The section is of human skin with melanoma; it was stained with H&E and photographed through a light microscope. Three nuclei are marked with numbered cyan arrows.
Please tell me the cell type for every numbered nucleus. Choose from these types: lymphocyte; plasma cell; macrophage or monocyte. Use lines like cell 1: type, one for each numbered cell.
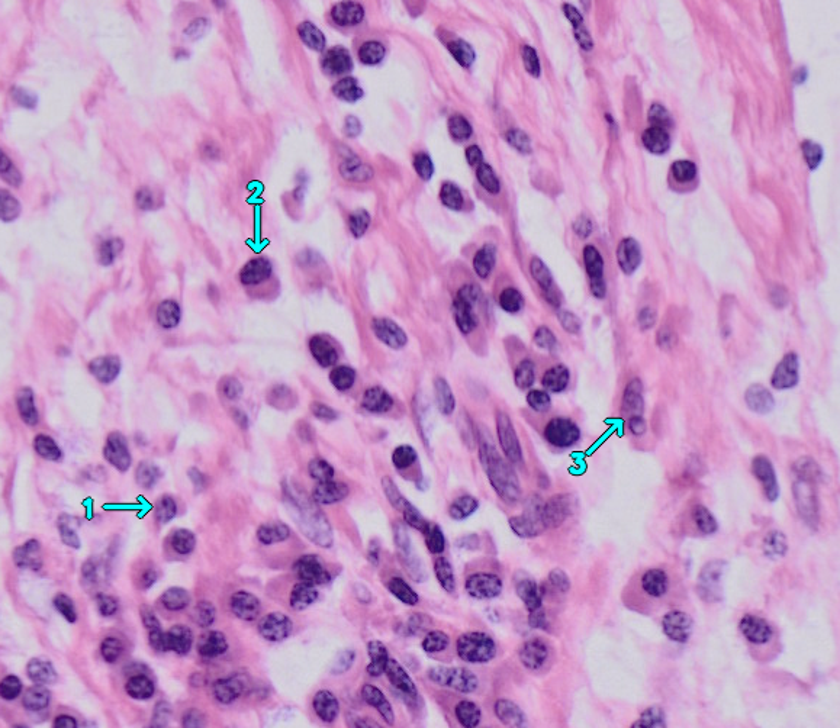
cell 1: plasma cell
cell 2: plasma cell
cell 3: macrophage or monocyte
